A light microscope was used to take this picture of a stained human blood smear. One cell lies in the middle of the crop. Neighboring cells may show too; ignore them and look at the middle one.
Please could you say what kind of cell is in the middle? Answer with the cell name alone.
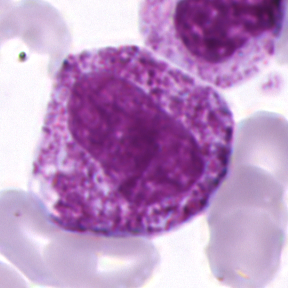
myelocyte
